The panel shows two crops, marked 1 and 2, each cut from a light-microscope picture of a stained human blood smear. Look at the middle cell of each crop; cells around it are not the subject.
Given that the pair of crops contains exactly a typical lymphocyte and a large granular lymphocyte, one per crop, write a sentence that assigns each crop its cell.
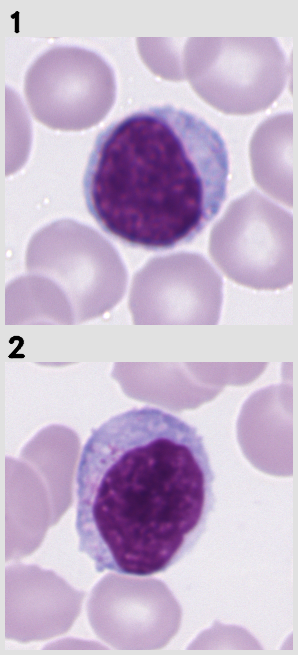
Crop 1 is to be read as a typical lymphocyte and crop 2 as a large granular lymphocyte.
